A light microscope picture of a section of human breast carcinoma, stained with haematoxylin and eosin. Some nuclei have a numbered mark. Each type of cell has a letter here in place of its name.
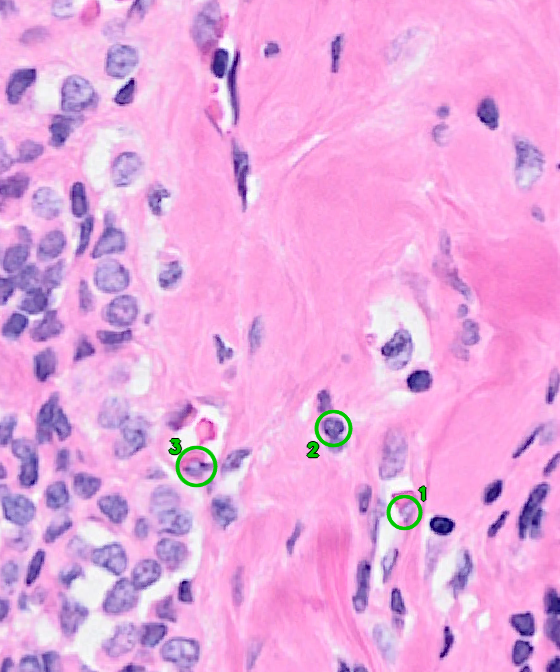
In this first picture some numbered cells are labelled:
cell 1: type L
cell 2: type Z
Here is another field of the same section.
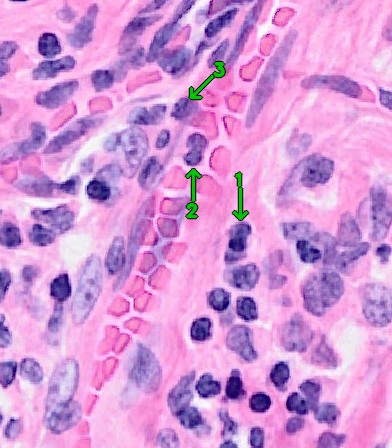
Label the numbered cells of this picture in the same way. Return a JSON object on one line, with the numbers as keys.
{"1": "type Z", "2": "type L", "3": "type L"}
